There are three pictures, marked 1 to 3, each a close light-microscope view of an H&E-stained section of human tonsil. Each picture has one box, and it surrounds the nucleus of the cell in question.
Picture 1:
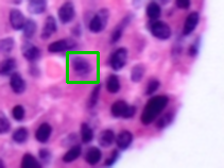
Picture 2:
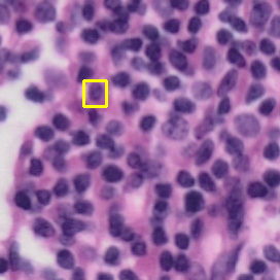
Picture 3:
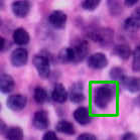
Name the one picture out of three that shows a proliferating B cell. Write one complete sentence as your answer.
Picture 3 is the one that shows the proliferating B cell.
